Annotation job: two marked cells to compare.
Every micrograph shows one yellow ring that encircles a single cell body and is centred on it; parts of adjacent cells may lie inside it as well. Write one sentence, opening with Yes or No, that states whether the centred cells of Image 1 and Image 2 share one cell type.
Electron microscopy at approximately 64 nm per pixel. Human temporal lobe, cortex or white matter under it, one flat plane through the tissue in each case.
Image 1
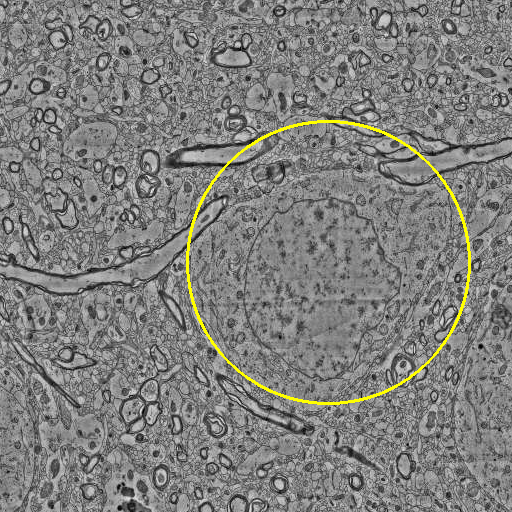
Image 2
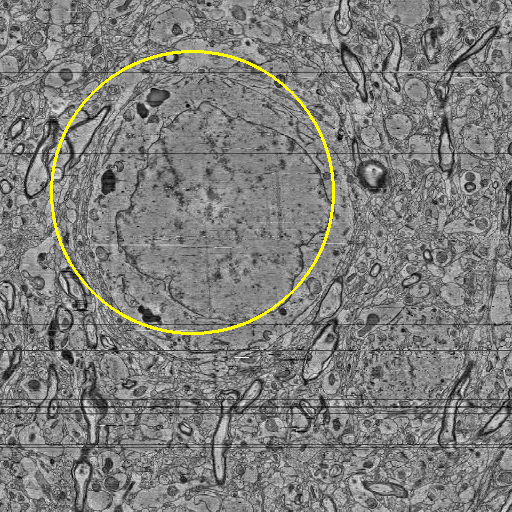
Yes, the cell centred in Image 1 shares its type with the cell centred in Image 2.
